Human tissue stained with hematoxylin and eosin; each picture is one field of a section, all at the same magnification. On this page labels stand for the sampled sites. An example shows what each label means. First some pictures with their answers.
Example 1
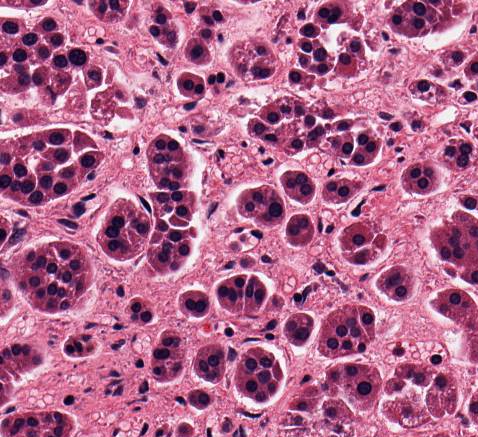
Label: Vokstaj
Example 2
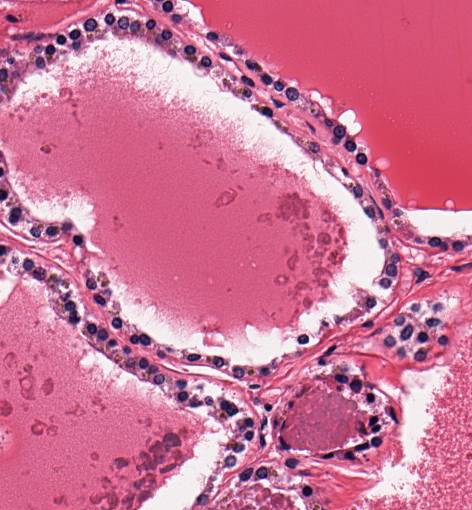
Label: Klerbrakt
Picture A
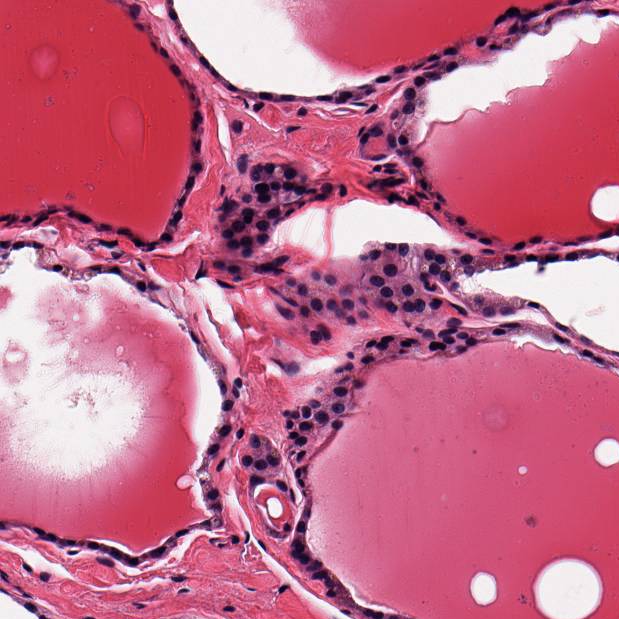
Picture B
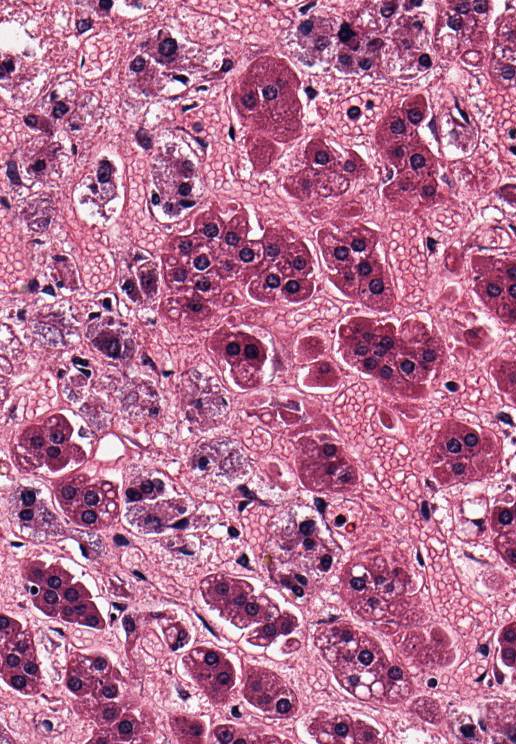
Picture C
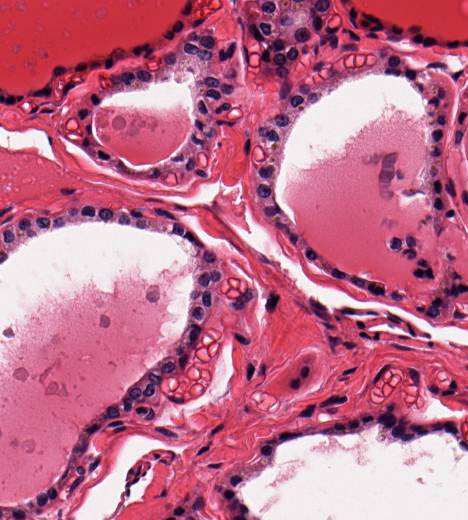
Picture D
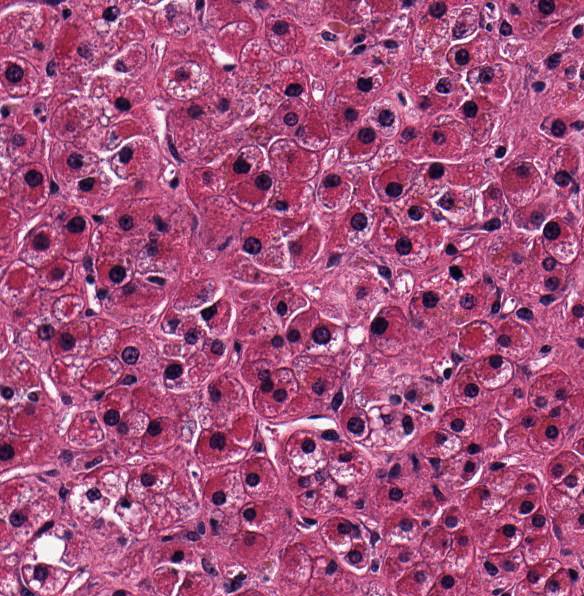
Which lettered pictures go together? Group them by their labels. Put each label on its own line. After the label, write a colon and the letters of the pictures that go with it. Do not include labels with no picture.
Vokstaj: B, D
Klerbrakt: A, C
